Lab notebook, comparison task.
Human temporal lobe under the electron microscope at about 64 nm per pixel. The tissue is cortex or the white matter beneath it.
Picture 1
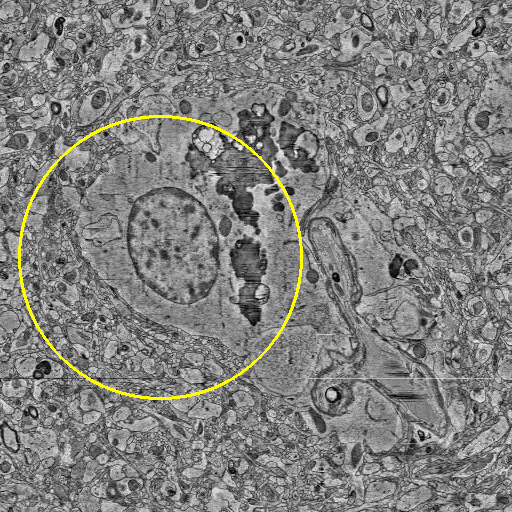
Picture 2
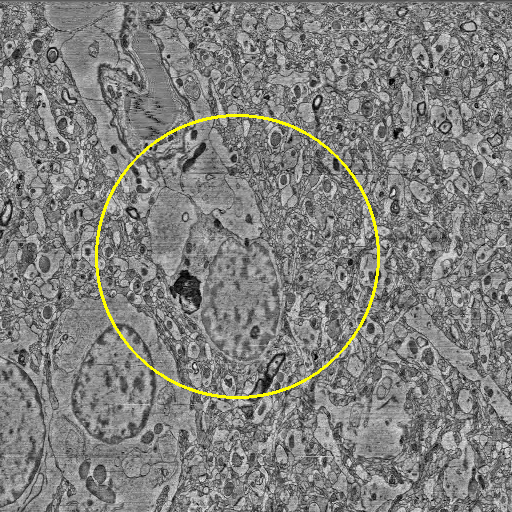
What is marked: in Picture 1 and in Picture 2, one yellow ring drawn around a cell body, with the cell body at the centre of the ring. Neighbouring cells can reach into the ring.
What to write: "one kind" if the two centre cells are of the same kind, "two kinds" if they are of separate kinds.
two kinds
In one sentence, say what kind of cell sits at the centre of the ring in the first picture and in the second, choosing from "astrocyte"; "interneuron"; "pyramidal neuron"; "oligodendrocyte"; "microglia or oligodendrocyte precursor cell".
The first picture's ringed cell is an astrocyte, while the second picture's is an oligodendrocyte.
